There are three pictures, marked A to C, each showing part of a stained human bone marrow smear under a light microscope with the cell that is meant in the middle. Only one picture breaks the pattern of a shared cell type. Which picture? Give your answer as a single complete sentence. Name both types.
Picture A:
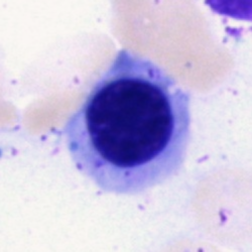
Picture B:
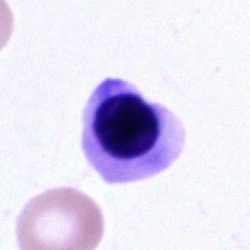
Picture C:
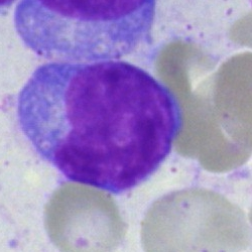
Picture C differs, because its cell is a blast and the rest are erythroblasts.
